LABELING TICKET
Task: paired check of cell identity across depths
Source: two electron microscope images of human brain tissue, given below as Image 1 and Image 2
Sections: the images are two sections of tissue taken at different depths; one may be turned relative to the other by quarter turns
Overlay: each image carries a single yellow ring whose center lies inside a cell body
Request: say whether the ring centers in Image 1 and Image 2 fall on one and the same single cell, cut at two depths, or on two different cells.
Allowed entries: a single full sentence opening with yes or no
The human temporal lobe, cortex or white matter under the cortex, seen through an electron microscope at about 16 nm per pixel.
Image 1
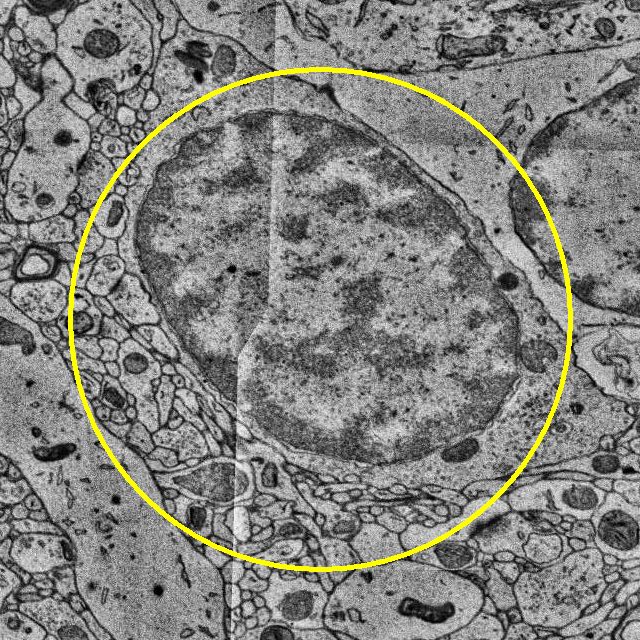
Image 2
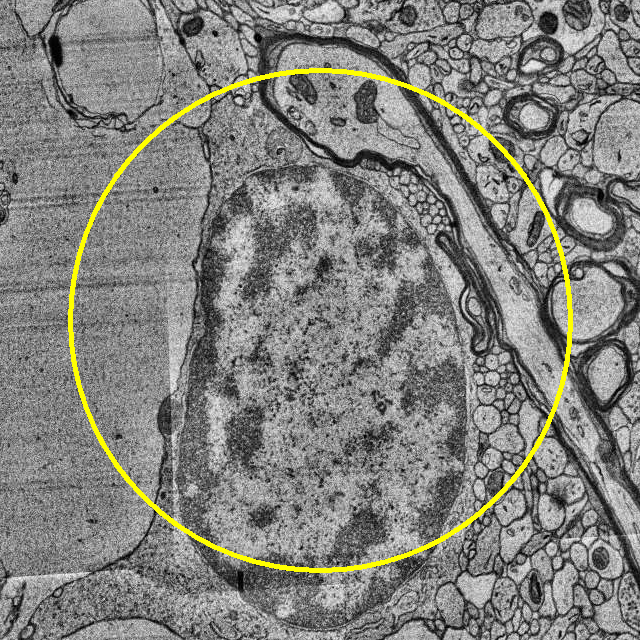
No, the two rings mark two different cells.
